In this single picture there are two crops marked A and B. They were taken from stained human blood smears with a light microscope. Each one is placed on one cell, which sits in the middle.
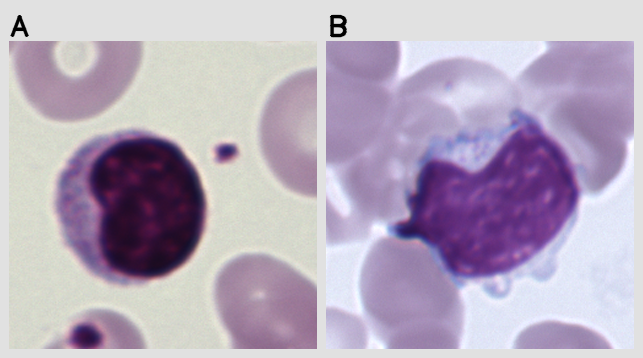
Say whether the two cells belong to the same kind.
yes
